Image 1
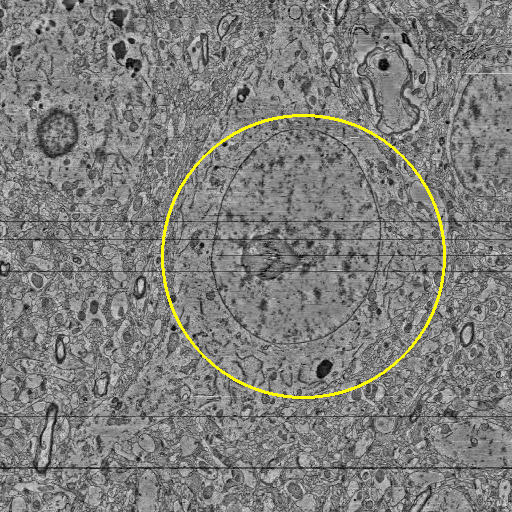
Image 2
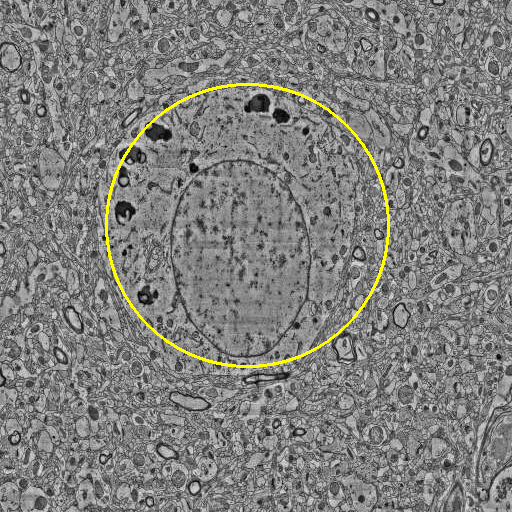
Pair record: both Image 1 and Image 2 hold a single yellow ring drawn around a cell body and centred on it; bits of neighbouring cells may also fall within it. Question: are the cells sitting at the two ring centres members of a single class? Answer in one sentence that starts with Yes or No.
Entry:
Yes, both ring-centre cells in Image 1 and Image 2 are members of one class.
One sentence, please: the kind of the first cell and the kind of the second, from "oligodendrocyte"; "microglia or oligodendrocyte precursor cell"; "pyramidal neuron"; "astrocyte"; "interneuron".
Each of the two rings is centred on a pyramidal neuron.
